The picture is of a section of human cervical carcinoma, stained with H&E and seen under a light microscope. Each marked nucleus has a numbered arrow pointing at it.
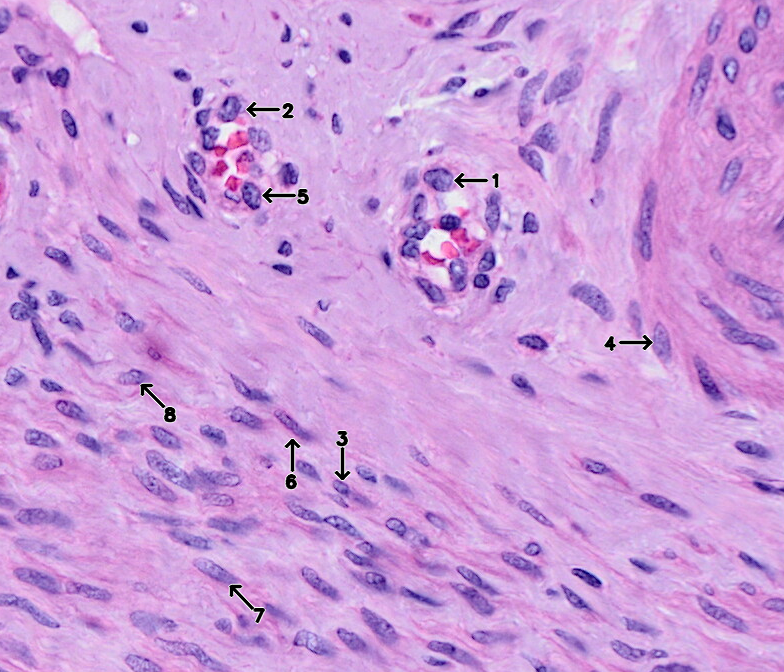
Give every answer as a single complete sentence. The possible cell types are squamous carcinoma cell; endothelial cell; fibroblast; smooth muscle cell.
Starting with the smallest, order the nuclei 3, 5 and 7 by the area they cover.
Smallest first, the nuclei run 3, 5, 7.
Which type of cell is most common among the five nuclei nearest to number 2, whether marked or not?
The majority of the five nuclei closest to number 2 belong to endothelial cells.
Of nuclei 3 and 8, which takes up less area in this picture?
Number 3 is smaller, since number 8 takes up about 2 times as much area.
